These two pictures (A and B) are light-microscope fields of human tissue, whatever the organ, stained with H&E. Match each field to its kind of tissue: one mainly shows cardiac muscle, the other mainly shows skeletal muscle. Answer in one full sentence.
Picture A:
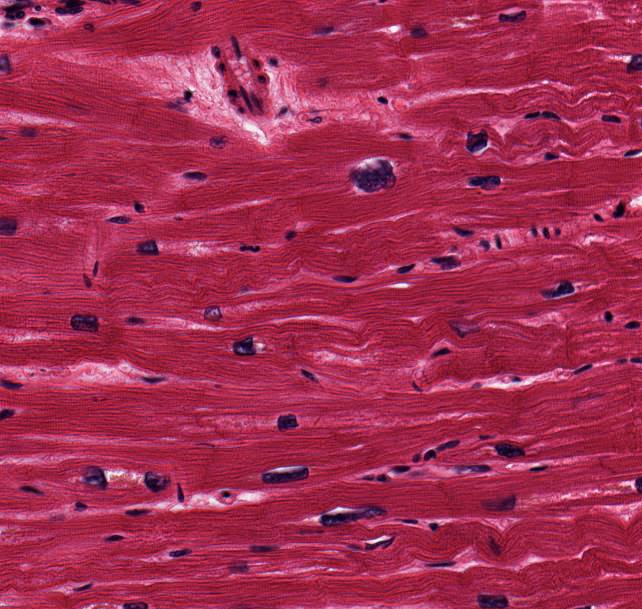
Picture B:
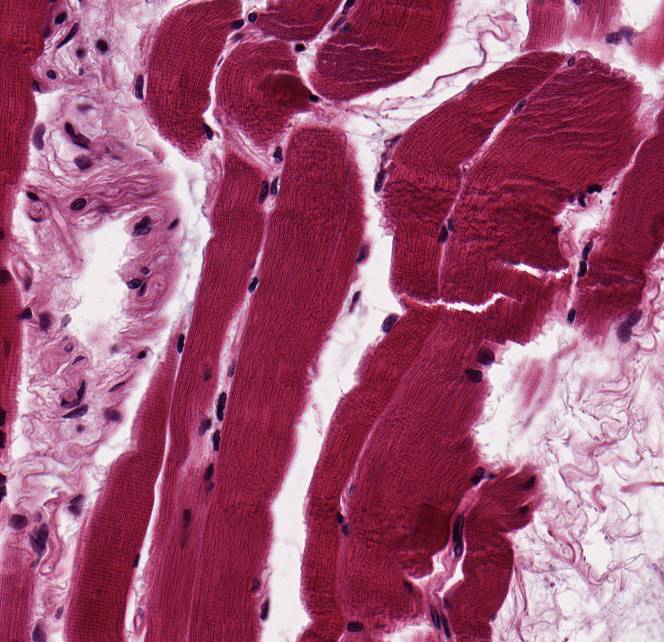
Picture B mainly shows skeletal muscle, while picture A mainly shows cardiac muscle.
